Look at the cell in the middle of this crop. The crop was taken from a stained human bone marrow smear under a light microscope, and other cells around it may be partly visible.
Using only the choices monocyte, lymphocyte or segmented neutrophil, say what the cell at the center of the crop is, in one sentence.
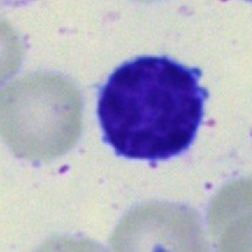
The central cell shown in this smear crop is a lymphocyte.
